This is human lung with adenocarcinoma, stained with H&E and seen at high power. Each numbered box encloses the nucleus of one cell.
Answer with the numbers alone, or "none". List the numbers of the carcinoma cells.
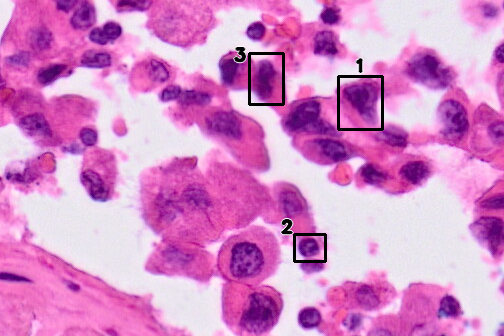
1, 3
